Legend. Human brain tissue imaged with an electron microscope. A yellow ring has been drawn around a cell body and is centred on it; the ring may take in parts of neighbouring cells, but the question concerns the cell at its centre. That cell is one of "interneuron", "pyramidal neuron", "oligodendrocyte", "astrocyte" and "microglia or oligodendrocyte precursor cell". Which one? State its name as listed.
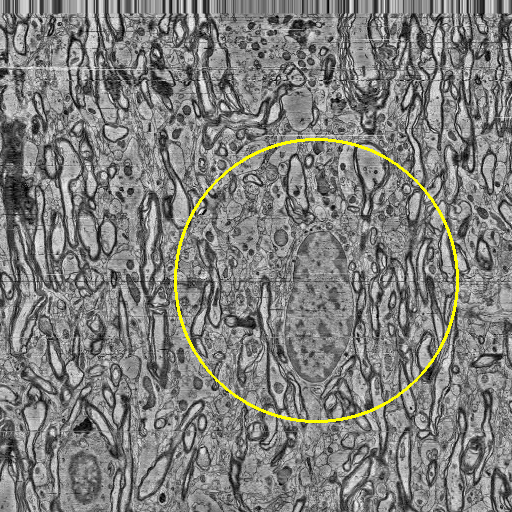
microglia or oligodendrocyte precursor cell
